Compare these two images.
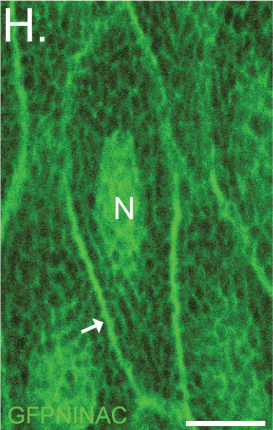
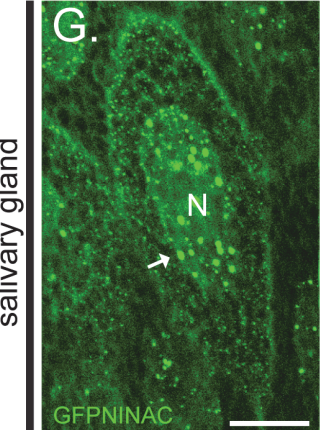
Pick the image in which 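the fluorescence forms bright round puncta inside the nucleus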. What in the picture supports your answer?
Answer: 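First image: the nucleus is evenly, faintly green without bright dots. Second image: the nucleus holds many bright round green dots. The answer: the second image.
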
